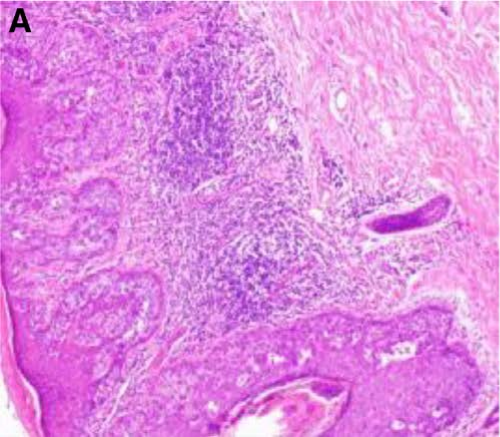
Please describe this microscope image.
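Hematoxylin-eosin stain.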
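At low power this is a squamous epithelium filled with many atypical cells, with a dense inflammatory infiltrate in the tissue below. The epithelium is thickened and forms broad tongues and nests that contain paler, larger cells. In the stroma between these nests lie dense aggregates of small cells with dark purple round nuclei, which are lymphocytes. Farther off, the stroma becomes looser pink collagen with few cells.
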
